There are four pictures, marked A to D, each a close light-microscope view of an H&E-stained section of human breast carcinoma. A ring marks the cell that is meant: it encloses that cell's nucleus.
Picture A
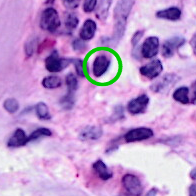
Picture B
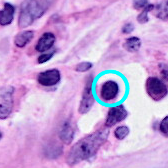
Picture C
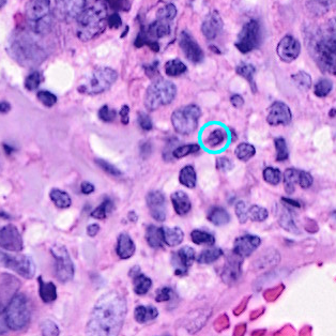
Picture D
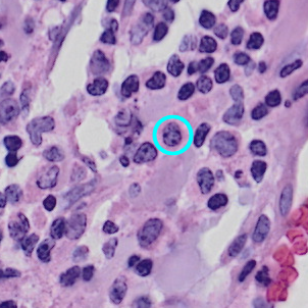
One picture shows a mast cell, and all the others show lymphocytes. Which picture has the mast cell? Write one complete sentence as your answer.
Picture D is the one that shows the mast cell.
